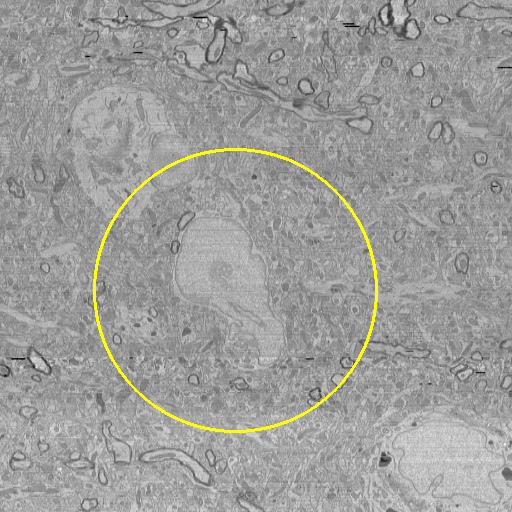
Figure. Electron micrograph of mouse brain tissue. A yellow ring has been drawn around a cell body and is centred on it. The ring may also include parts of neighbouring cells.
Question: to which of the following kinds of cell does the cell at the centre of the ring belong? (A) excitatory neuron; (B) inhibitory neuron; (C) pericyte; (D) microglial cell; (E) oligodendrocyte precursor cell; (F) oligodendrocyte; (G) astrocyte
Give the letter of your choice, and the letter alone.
E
